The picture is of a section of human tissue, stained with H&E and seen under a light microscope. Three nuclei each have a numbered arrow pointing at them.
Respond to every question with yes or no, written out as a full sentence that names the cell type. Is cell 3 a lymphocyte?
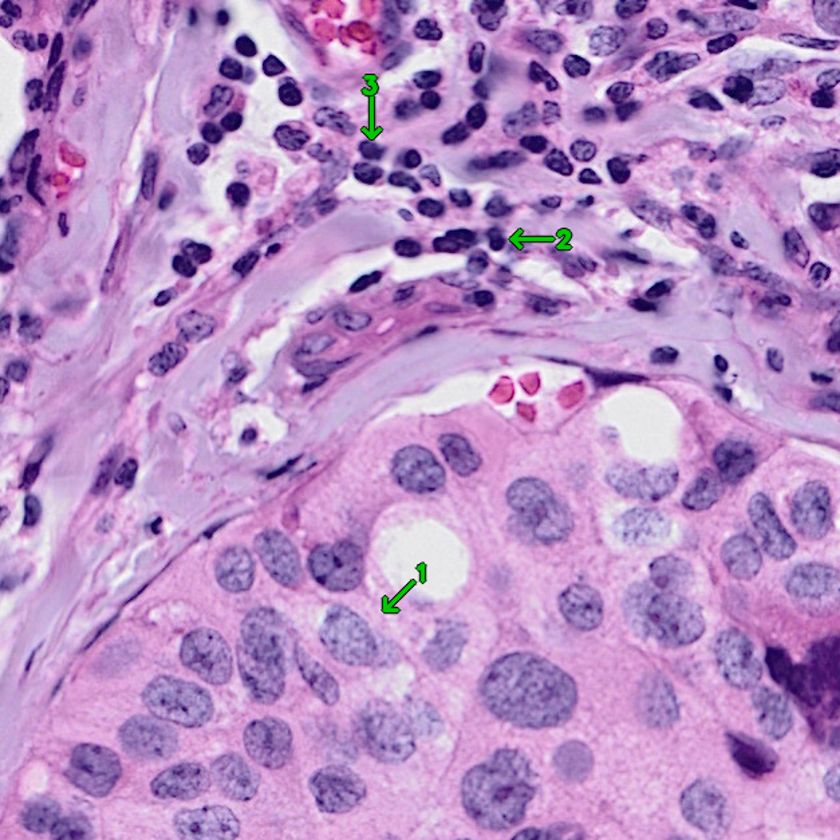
Yes, in this section the cell numbered 3 is a lymphocyte.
